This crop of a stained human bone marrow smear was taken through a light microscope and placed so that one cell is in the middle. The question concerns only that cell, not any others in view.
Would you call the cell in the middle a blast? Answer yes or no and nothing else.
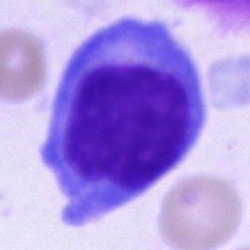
yes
